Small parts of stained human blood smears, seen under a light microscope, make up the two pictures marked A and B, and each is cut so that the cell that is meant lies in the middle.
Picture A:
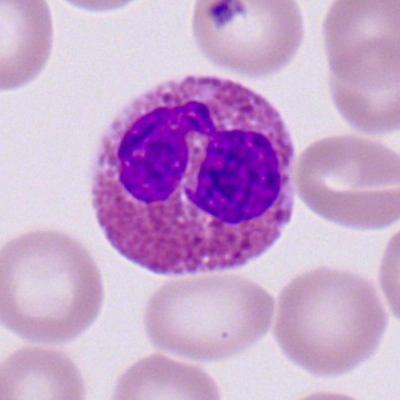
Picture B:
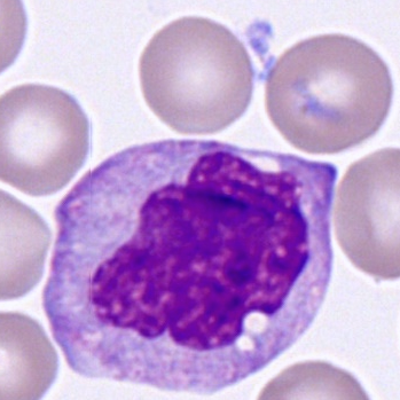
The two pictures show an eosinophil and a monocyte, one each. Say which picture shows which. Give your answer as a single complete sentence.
In picture A the cell is an eosinophil; in picture B, a monocyte.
